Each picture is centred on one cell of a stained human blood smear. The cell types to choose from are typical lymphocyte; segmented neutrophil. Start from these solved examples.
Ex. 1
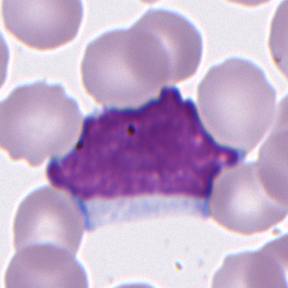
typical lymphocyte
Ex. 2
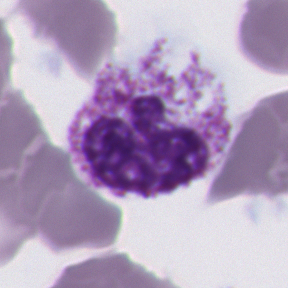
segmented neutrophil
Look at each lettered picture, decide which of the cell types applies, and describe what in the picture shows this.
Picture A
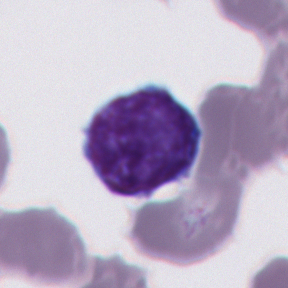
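typical lymphocyte: The cytoplasm is only a very thin blue rim at the edge of the cell.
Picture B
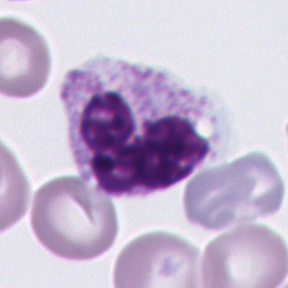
segmented neutrophil: The cytoplasm is plentiful and very pale lilac.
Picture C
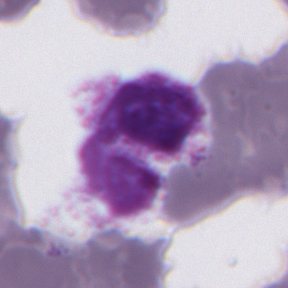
segmented neutrophil: The nucleus has two lobes, one above the other.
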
